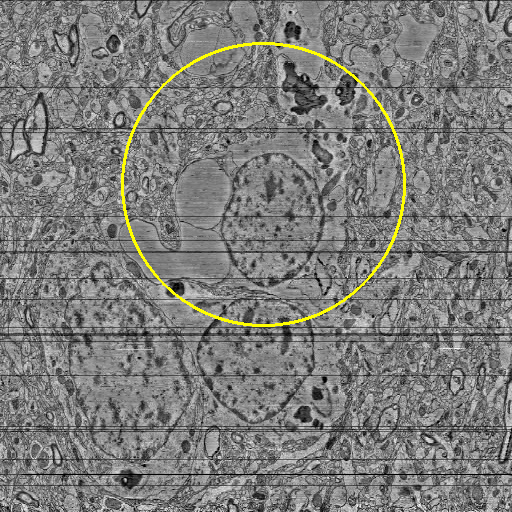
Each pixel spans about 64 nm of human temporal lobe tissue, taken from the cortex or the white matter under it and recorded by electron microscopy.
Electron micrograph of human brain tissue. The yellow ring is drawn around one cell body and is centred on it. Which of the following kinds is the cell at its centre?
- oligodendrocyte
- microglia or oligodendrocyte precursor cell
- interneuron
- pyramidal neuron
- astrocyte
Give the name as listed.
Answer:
astrocyte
